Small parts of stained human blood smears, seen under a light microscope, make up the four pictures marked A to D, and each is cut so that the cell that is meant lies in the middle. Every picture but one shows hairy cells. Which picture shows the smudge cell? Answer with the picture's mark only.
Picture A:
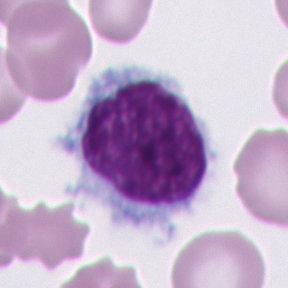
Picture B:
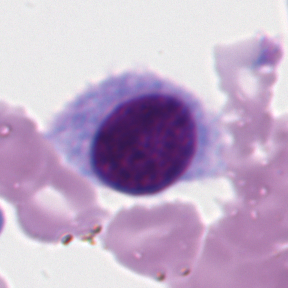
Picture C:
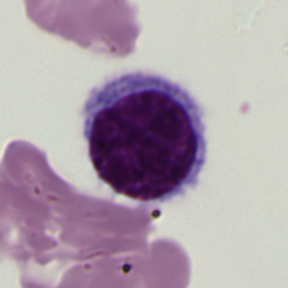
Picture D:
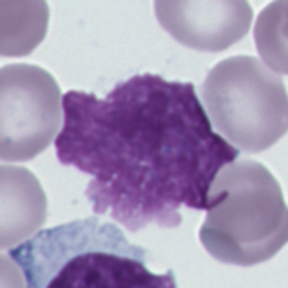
D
